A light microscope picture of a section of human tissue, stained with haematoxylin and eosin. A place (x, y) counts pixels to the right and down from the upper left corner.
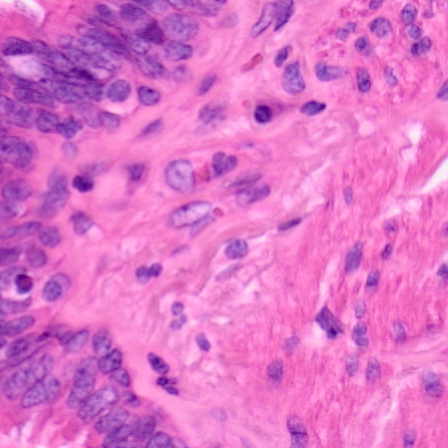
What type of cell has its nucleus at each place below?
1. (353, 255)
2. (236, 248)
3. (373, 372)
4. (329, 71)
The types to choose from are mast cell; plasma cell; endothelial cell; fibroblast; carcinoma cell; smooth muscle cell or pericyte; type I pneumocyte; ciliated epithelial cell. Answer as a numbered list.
1. smooth muscle cell or pericyte
2. mast cell
3. smooth muscle cell or pericyte
4. smooth muscle cell or pericyte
